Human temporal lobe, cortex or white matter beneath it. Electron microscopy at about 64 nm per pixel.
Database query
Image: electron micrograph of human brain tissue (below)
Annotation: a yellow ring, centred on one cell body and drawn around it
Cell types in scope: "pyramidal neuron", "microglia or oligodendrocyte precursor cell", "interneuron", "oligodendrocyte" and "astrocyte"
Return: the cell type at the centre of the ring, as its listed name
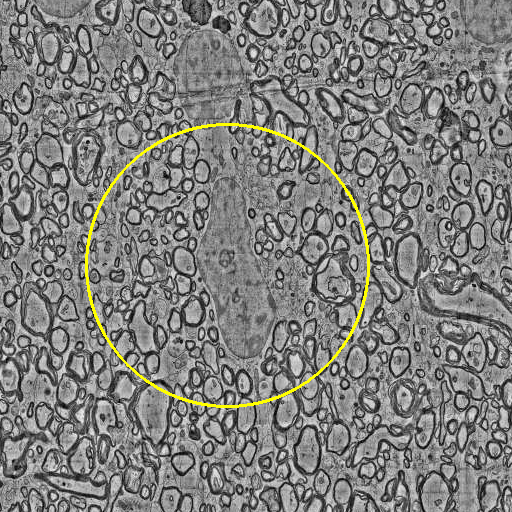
microglia or oligodendrocyte precursor cell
